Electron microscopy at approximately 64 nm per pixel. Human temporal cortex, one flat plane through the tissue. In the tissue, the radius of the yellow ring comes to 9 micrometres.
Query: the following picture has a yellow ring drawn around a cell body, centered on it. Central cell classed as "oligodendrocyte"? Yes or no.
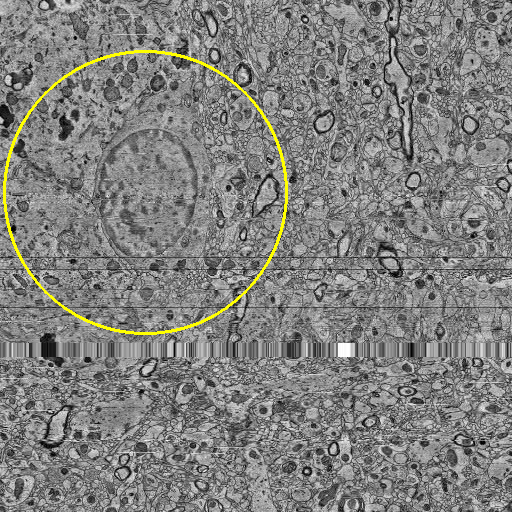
yes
